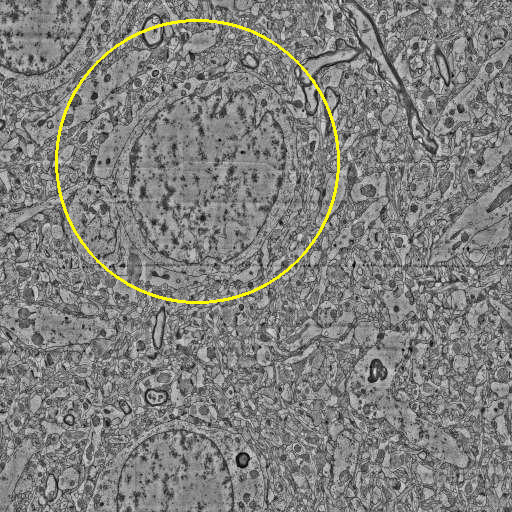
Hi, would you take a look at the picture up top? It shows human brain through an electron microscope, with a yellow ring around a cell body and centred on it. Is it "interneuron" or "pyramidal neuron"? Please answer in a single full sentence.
The best fit for the cell in the middle of the ring is an interneuron, I reckon.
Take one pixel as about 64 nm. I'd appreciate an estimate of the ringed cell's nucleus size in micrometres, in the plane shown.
The nucleus of the ringed cell is approximately 12 by 10 micrometres in this plane.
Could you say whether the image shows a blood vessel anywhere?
No, no blood vessel shows in the picture.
